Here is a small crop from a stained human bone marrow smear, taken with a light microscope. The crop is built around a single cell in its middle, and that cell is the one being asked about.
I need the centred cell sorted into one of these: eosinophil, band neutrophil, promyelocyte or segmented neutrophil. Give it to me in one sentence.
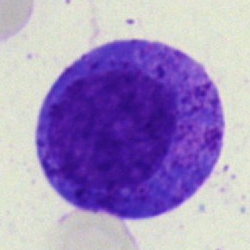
Standing at the centre of this crop is a promyelocyte.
